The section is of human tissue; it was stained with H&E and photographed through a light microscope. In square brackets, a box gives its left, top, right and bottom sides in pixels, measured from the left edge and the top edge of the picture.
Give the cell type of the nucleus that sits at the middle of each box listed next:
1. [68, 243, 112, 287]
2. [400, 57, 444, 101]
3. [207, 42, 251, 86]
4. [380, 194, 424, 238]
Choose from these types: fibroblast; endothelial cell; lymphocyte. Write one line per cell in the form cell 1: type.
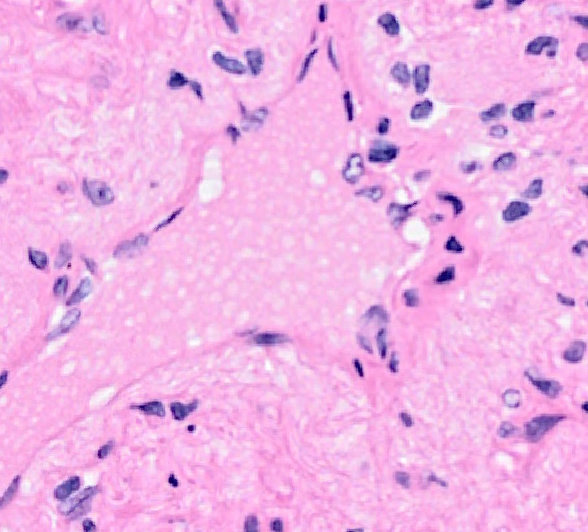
cell 1: endothelial cell
cell 2: lymphocyte
cell 3: lymphocyte
cell 4: endothelial cell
